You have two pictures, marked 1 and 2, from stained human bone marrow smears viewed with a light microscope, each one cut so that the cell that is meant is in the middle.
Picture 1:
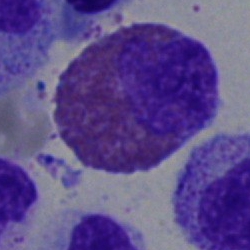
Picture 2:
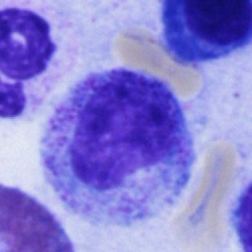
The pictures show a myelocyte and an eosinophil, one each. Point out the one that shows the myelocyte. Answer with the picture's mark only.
2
